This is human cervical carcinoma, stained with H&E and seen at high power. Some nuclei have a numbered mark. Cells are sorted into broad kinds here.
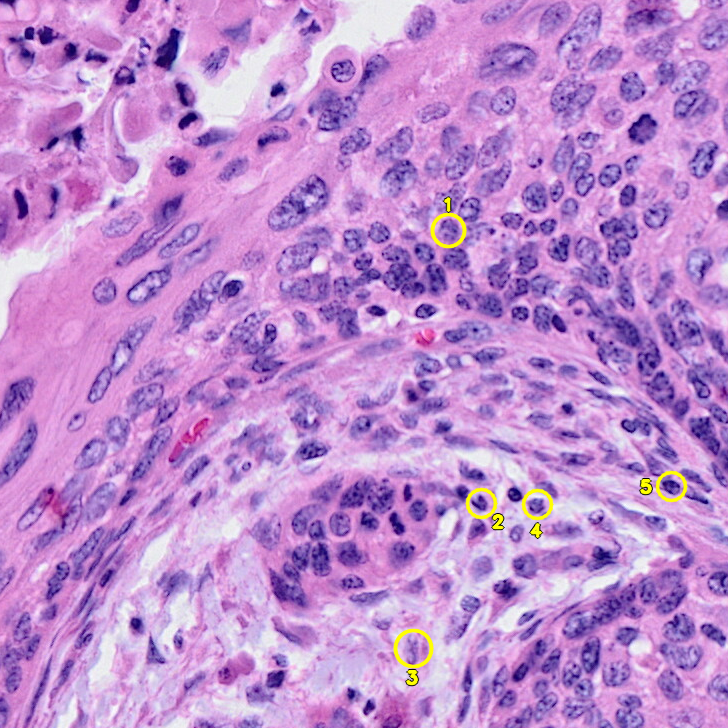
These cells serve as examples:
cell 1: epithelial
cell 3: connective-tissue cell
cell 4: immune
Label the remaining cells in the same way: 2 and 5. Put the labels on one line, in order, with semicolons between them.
immune; immune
